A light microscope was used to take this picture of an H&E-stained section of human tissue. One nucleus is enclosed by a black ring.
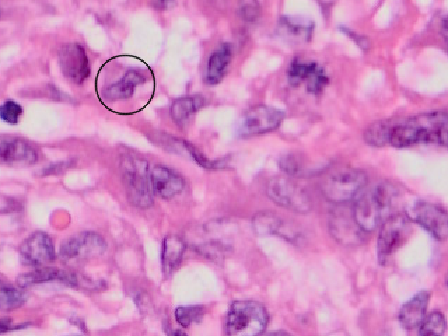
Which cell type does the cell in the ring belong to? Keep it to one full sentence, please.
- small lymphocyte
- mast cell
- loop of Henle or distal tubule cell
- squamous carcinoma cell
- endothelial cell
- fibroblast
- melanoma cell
At the level of cell identity, the cell in the ring is a melanoma cell.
